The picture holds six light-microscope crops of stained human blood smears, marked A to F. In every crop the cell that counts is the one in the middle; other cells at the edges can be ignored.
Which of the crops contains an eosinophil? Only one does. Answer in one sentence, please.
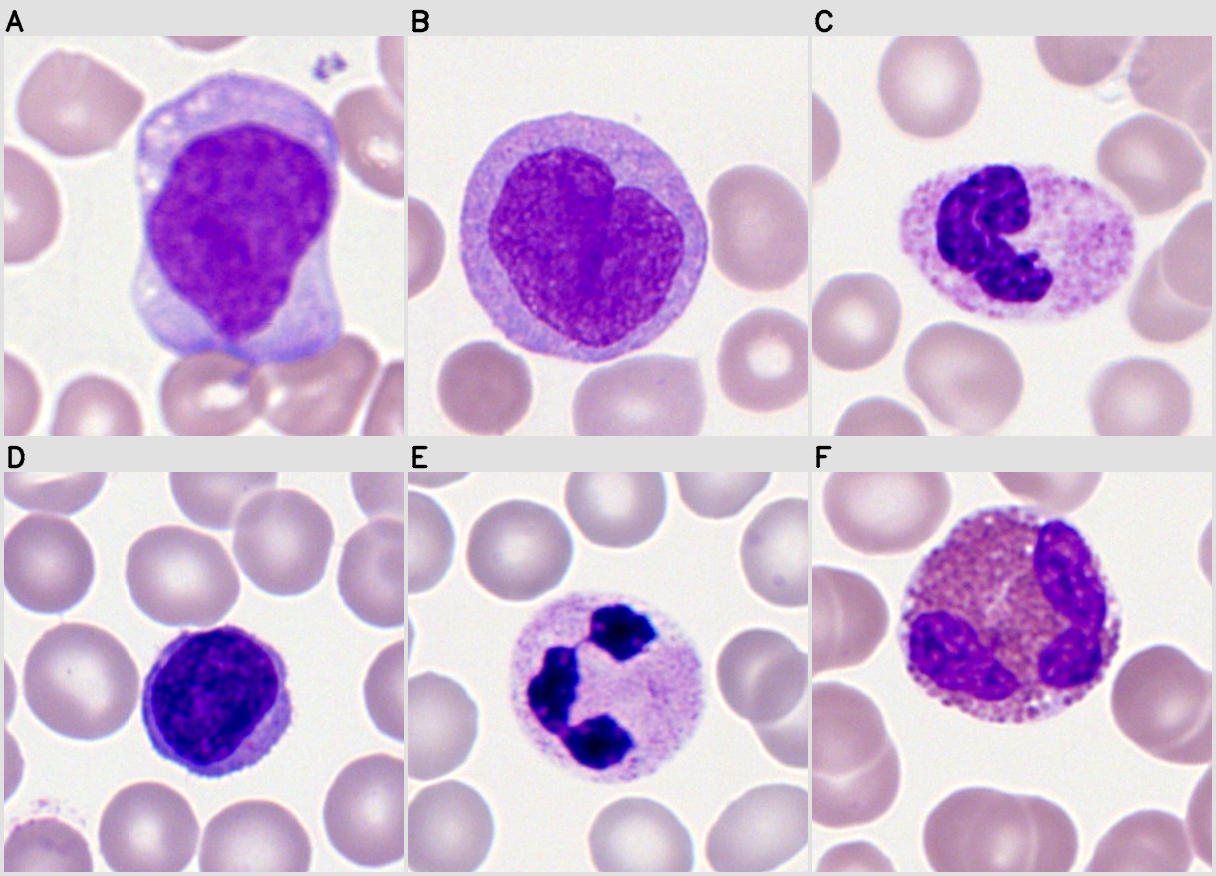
Of the labeled crops, the one with an eosinophil is crop F.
